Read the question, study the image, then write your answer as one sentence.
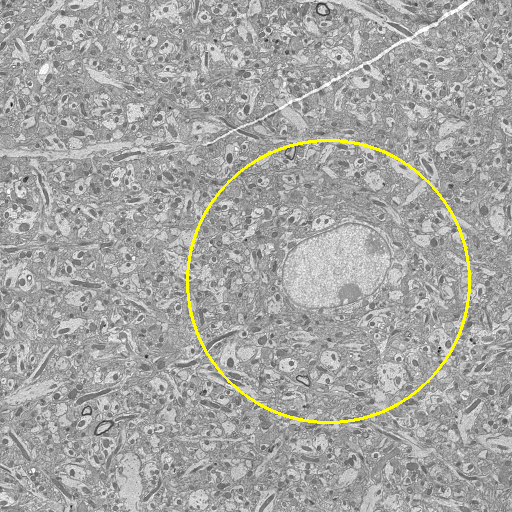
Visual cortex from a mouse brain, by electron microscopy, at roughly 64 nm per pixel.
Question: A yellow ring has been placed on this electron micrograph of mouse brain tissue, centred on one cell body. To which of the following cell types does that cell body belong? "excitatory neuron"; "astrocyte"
That cell body belongs to an astrocyte.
